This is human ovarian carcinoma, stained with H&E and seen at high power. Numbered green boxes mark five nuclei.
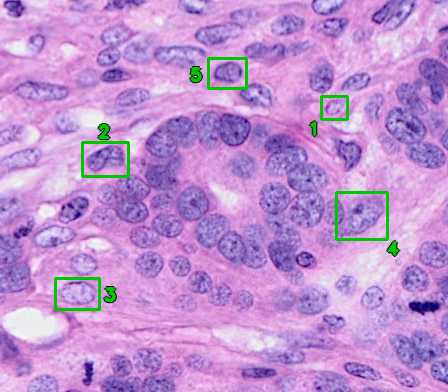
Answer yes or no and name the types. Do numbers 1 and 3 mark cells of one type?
Yes, both are fibroblasts.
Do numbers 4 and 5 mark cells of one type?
No, cell 4 is a fibroblast and cell 5 is a macrophage or monocyte.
